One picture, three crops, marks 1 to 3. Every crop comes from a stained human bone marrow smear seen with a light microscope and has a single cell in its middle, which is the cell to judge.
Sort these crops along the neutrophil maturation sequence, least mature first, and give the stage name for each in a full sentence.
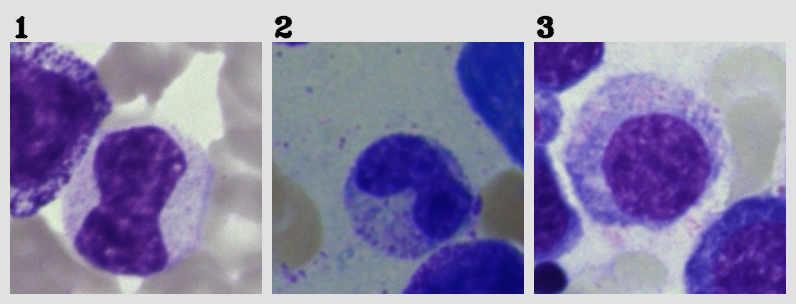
Ordered by maturation stage, least mature first, these are crop 3 (a myelocyte), crop 1 (a metamyelocyte) and crop 2 (a band neutrophil).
